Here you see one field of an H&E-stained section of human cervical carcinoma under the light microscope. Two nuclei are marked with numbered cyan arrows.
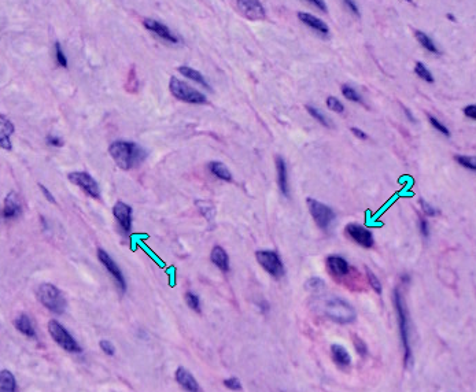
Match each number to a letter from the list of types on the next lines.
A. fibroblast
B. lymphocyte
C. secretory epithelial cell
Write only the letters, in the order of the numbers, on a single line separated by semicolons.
A; B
